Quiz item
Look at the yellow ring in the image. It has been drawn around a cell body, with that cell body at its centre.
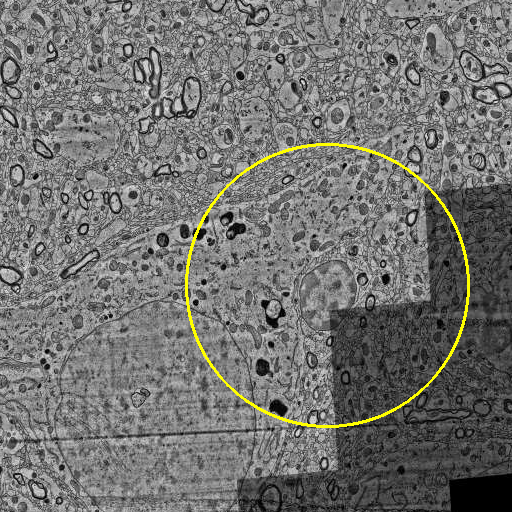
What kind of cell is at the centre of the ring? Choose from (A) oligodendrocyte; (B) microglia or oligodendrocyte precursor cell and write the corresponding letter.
B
